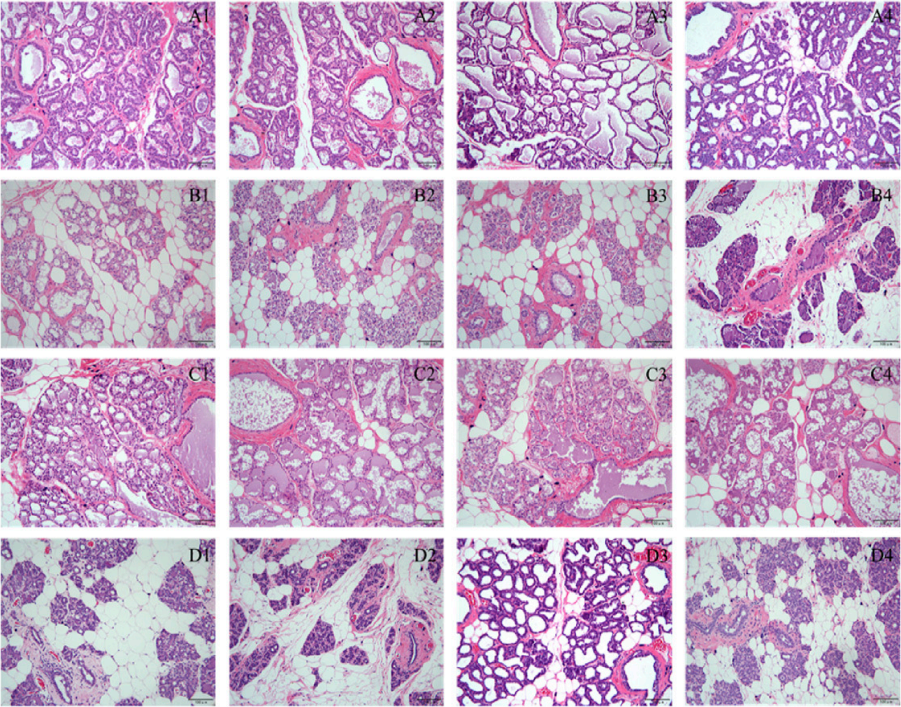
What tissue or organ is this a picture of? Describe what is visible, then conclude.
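Lobules of small rounded glandular alveoli lined by purple-staining epithelium. Large empty round fat cells surround the glandular lobules in many of the images. Ducts with pink connective tissue around them run between the lobules. That points to this answer: mammary gland tissues.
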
